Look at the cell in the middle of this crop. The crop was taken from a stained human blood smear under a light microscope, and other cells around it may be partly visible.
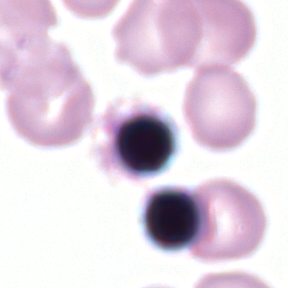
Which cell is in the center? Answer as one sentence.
The cell at the heart of this crop is a normoblast.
